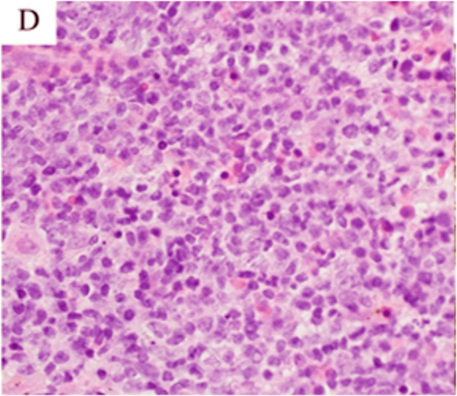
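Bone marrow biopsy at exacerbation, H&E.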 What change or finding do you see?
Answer: sheets of large cells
